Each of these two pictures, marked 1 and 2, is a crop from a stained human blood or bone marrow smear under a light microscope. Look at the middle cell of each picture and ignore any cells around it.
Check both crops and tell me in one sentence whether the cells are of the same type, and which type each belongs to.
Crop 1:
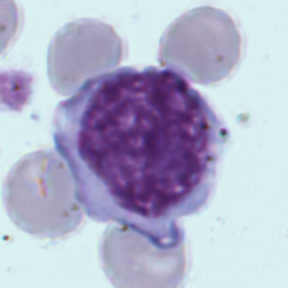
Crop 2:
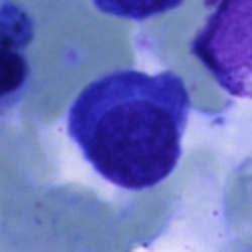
Yes, in the two crops, plasma cells are the cells at the centre.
